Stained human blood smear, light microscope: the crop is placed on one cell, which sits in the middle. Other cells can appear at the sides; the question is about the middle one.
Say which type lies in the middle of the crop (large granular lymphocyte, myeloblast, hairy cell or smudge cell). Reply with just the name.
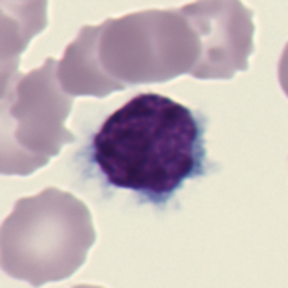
hairy cell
